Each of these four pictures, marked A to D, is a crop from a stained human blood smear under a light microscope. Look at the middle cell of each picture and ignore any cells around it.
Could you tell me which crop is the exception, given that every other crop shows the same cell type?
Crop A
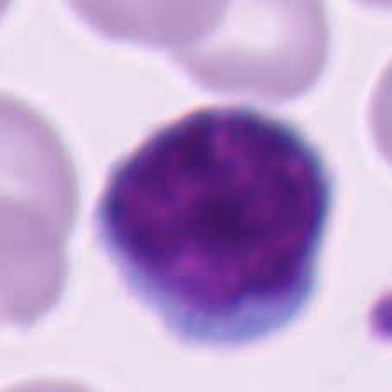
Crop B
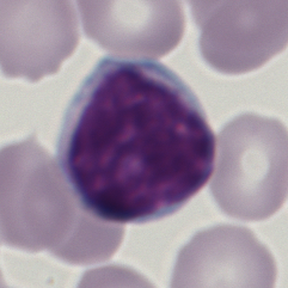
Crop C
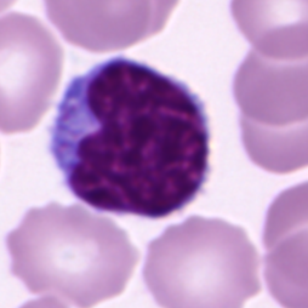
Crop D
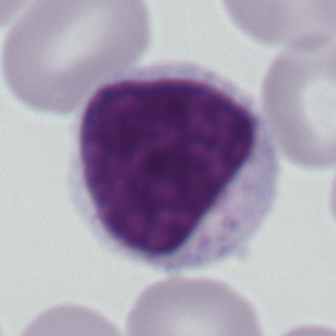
D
